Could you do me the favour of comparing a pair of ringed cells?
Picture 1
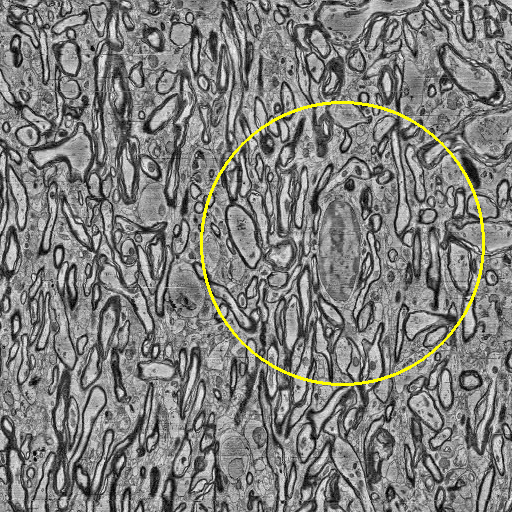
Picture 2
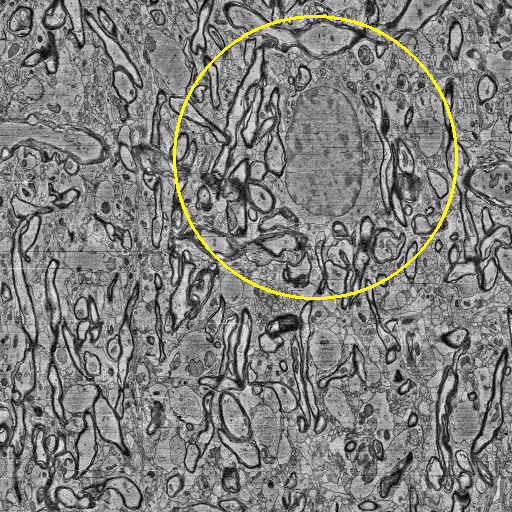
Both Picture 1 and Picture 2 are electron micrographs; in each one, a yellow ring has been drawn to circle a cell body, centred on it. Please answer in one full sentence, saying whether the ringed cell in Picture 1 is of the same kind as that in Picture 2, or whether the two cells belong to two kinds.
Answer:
The ringed cells in Picture 1 and Picture 2 belong to two kinds.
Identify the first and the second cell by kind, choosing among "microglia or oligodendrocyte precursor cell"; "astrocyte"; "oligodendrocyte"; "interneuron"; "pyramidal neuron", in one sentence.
The one in the first picture is a microglial cell or oligodendrocyte precursor cell, while the one in the second is an oligodendrocyte.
